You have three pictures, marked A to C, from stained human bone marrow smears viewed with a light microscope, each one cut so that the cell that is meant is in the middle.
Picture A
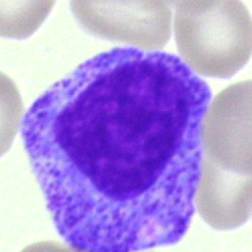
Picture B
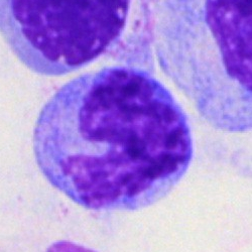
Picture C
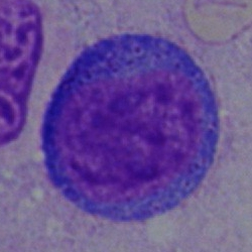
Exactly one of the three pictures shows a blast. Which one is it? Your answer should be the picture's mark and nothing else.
C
